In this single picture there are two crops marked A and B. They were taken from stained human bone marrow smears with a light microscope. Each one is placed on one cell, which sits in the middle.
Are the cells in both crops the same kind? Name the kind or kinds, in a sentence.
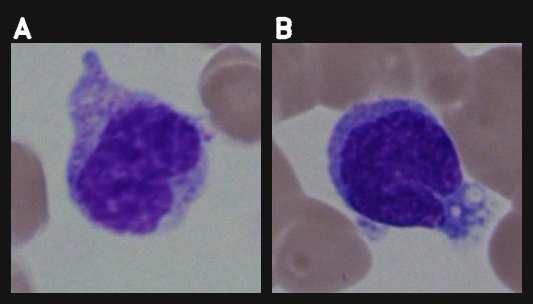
Yes, for both crops, the central cells are monocytes.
